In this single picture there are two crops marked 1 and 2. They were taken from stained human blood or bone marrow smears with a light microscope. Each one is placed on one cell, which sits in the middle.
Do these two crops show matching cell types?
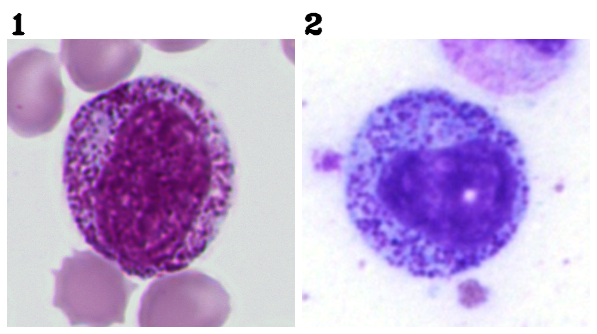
yes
